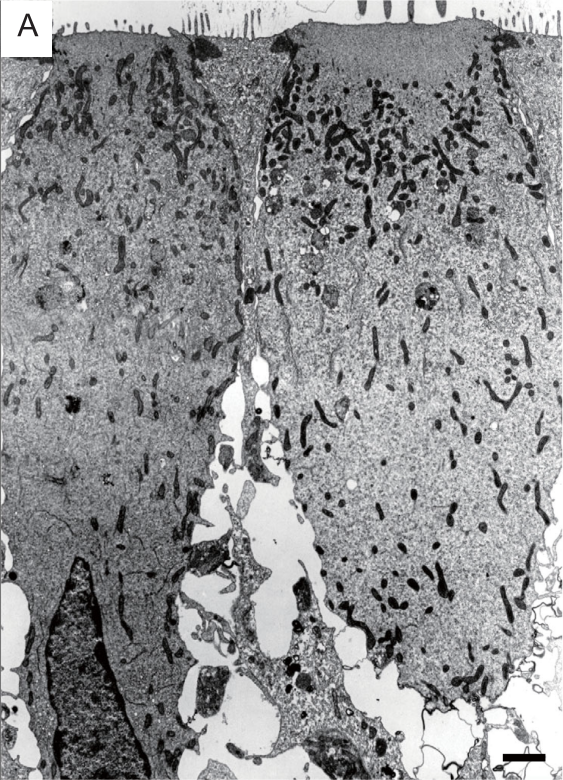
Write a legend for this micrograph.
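This is an electron micrograph of a polarised epithelium with tall columnar cells standing side by side. Their free upper surface bears slender microvilli, and dense junctional specialisations join neighbouring cells just beneath that apical surface. The cytoplasm holds many dark, elongated and rod-shaped mitochondria, most densely packed in the upper part of the cells. Toward the base the lateral membranes separate, leaving pale intercellular spaces crossed by thin cellular processes, and an elongated dark nucleus lies in the lower part of one cell.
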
